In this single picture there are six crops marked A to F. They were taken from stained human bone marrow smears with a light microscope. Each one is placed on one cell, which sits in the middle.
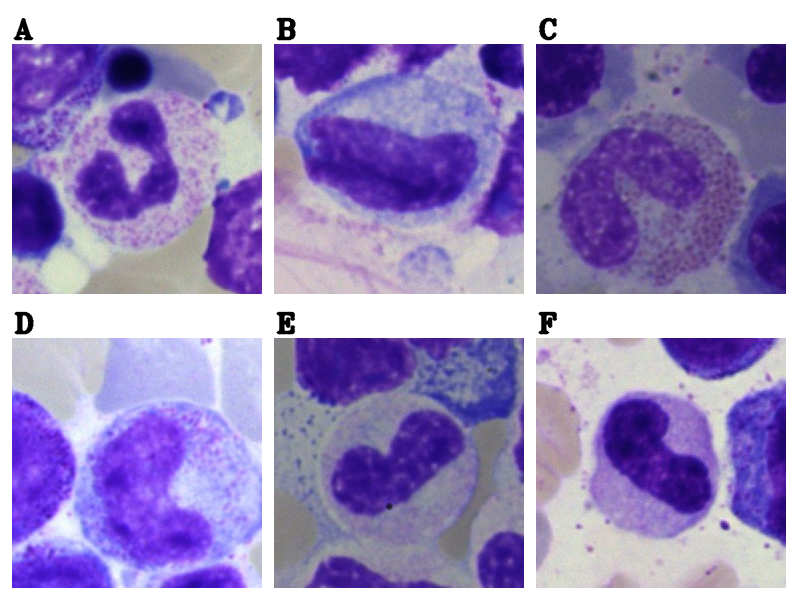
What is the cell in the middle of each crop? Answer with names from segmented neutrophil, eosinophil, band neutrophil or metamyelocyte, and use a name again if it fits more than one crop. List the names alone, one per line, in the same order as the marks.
segmented neutrophil
metamyelocyte
eosinophil
metamyelocyte
band neutrophil
band neutrophil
